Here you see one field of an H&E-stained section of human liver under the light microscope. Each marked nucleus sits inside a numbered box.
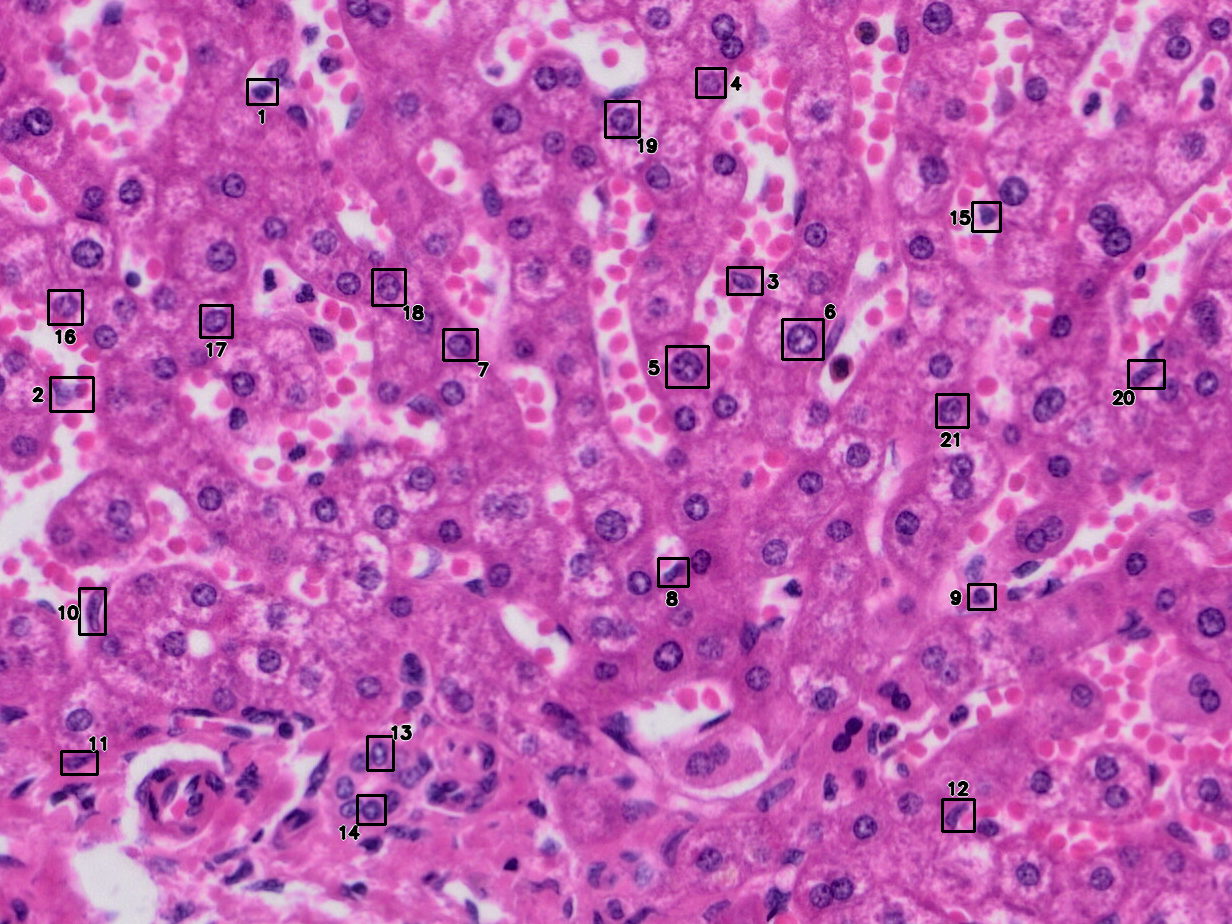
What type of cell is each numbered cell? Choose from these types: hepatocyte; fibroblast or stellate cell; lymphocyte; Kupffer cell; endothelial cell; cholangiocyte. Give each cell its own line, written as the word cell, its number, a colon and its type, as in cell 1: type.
cell 1: lymphocyte
cell 2: endothelial cell
cell 3: Kupffer cell
cell 4: hepatocyte
cell 5: hepatocyte
cell 6: hepatocyte
cell 7: hepatocyte
cell 8: endothelial cell
cell 9: lymphocyte
cell 10: Kupffer cell
cell 11: fibroblast or stellate cell
cell 12: endothelial cell
cell 13: cholangiocyte
cell 14: cholangiocyte
cell 15: lymphocyte
cell 16: hepatocyte
cell 17: hepatocyte
cell 18: hepatocyte
cell 19: hepatocyte
cell 20: fibroblast or stellate cell
cell 21: hepatocyte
